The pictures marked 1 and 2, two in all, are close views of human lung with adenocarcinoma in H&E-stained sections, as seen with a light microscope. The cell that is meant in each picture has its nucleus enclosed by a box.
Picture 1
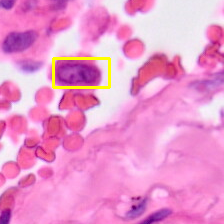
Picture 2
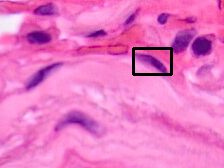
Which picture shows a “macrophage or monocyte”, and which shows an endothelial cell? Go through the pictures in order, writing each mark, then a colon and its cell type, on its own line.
1: macrophage or monocyte
2: endothelial cell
